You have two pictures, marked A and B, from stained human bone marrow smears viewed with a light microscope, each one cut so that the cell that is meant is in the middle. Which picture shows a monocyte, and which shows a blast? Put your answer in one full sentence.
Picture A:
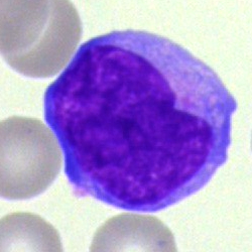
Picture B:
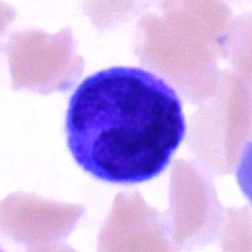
It is picture A that shows a blast, and picture B that shows a monocyte.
